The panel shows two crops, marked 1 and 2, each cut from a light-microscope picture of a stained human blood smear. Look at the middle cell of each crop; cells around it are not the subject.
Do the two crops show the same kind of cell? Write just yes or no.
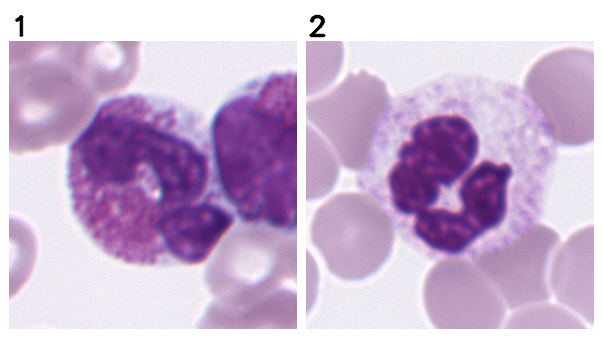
no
